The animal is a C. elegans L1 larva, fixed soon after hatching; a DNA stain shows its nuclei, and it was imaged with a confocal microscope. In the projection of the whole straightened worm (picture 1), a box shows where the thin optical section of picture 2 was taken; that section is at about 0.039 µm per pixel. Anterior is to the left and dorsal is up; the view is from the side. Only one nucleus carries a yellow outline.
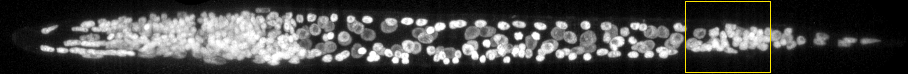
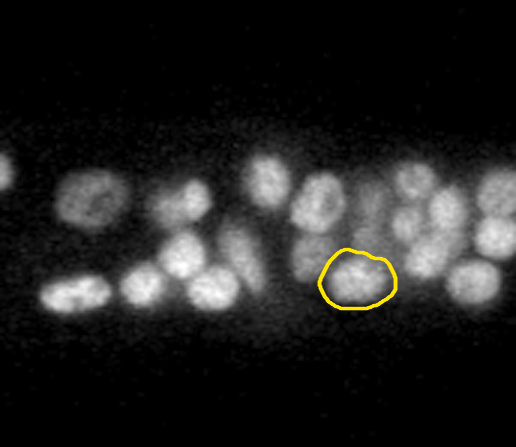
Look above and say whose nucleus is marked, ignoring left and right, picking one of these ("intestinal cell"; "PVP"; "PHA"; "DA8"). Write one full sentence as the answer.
The nucleus is from PHA, a neuron.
